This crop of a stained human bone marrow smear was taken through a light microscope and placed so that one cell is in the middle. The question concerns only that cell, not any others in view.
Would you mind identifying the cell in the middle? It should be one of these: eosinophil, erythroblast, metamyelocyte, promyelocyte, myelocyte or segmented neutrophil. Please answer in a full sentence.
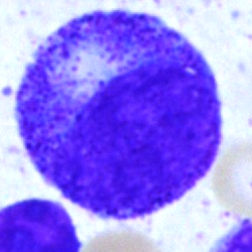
In this crop, the cell at the very middle is a promyelocyte.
